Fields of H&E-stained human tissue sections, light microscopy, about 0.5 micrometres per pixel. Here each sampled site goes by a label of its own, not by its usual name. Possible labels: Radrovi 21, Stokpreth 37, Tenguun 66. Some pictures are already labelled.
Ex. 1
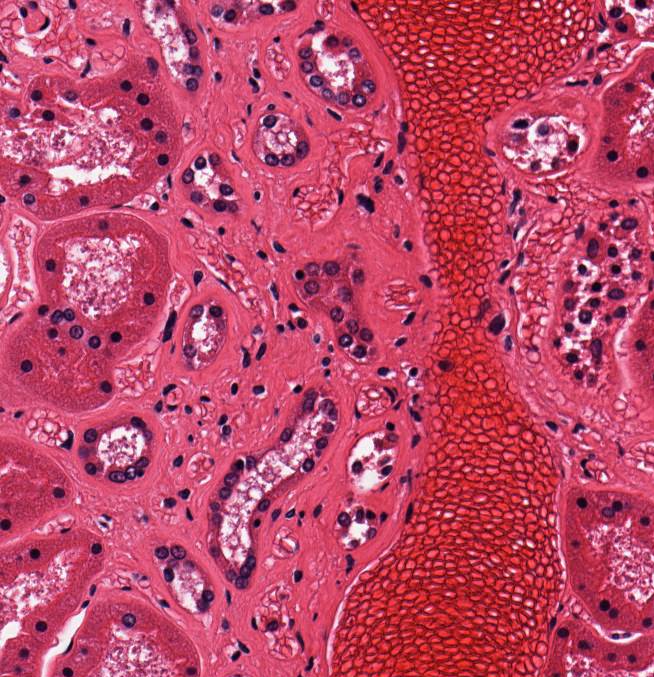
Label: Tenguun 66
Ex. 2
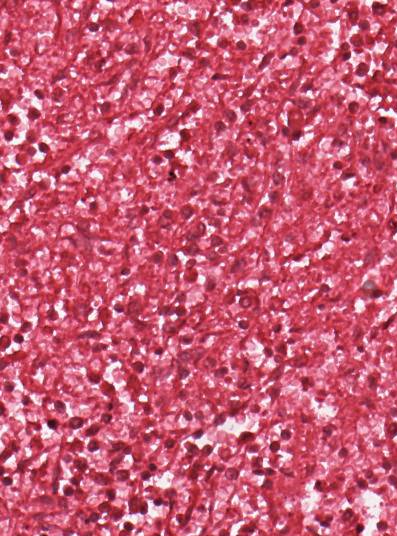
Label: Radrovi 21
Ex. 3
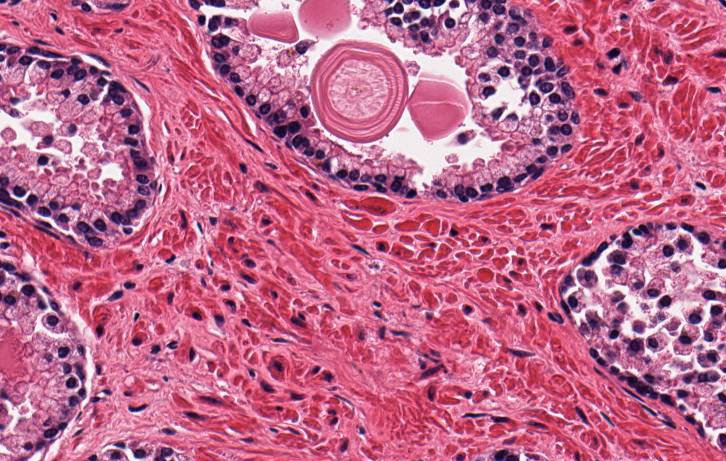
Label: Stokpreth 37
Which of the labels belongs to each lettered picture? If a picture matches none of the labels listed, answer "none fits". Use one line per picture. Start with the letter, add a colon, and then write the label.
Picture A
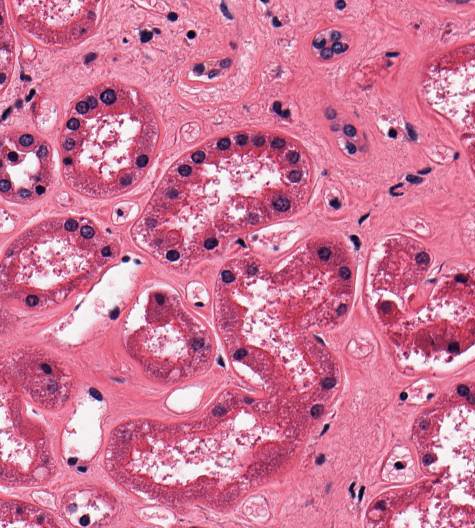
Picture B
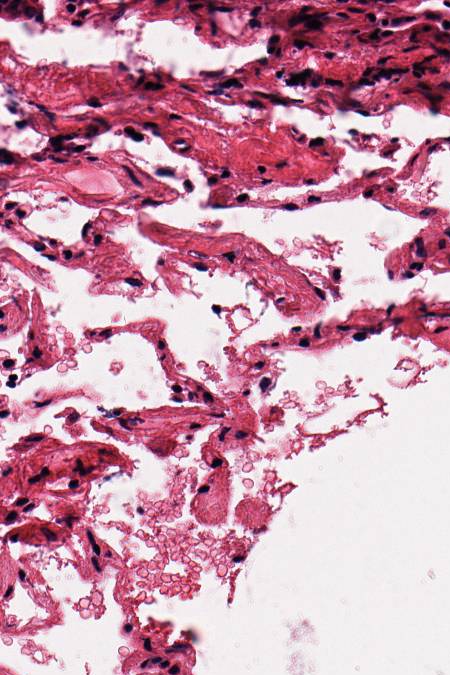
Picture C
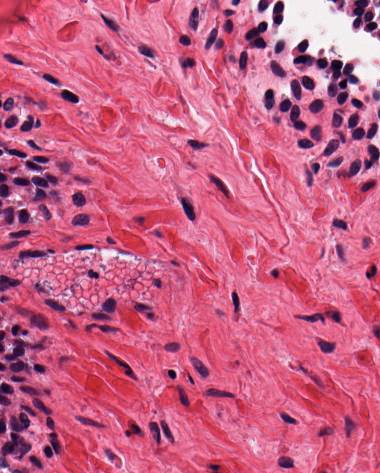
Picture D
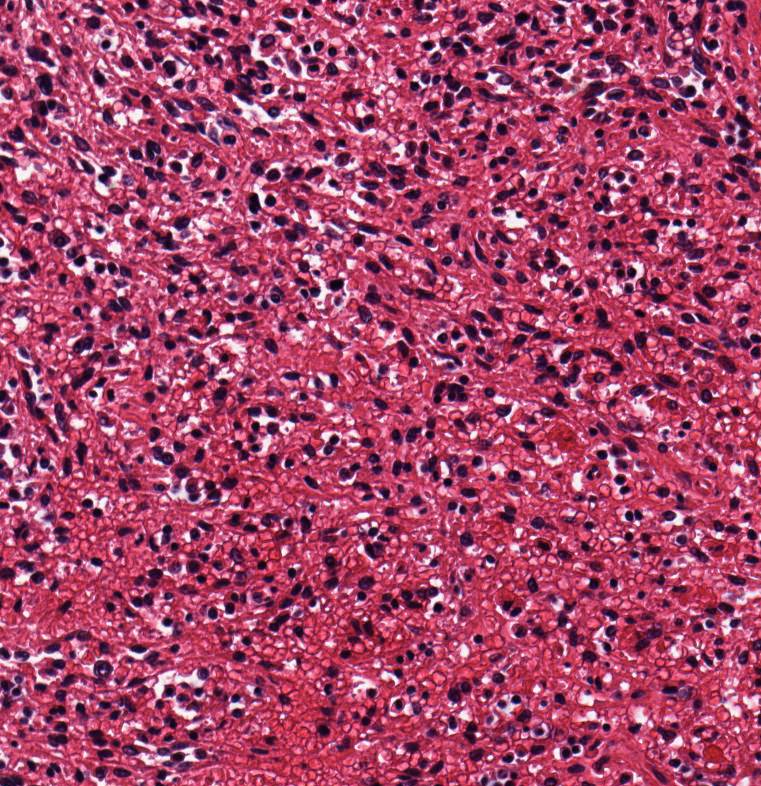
A: Tenguun 66
B: none fits
C: Stokpreth 37
D: Radrovi 21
